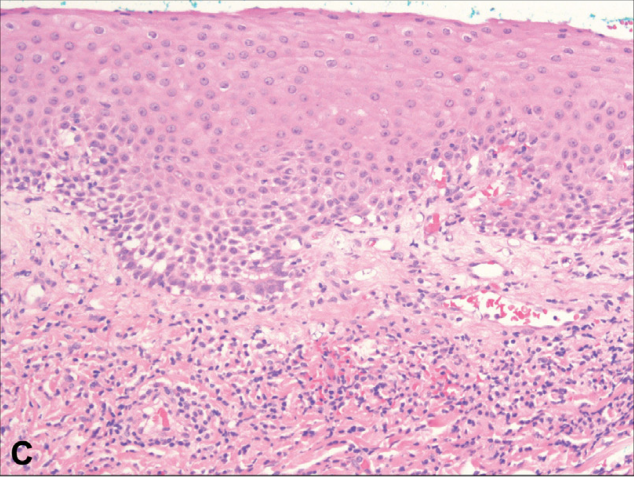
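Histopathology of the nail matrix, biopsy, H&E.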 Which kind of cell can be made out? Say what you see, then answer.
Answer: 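Lymphocytes. Many small cells with dark, round, purple nuclei and scant cytoplasm lie crowded in the connective tissue below the epithelium. These small dark cells form a band running beneath the pink squamous epithelium.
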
